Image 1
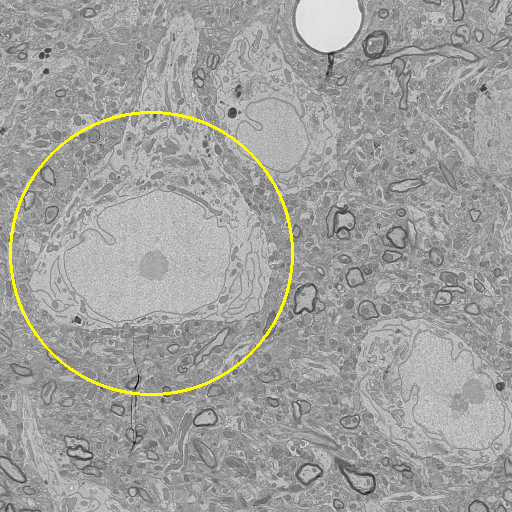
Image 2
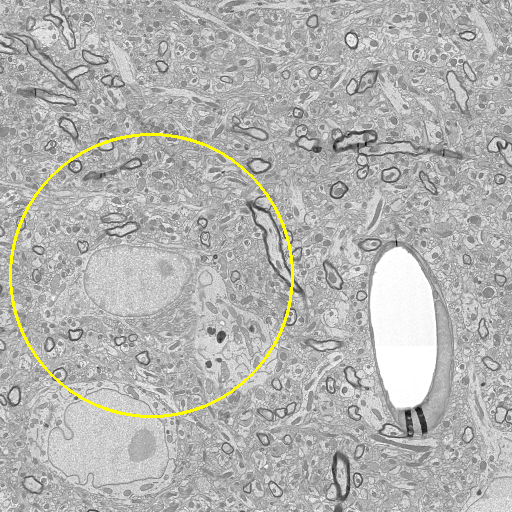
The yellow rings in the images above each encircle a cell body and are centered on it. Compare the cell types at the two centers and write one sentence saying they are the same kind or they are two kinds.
Taken together, the two cells at the ring centers are two kinds.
